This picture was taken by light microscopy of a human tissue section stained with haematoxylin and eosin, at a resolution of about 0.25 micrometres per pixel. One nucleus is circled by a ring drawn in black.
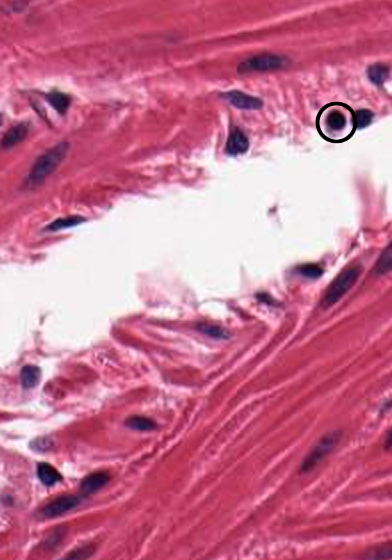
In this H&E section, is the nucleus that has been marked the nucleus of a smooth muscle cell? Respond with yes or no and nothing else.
no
